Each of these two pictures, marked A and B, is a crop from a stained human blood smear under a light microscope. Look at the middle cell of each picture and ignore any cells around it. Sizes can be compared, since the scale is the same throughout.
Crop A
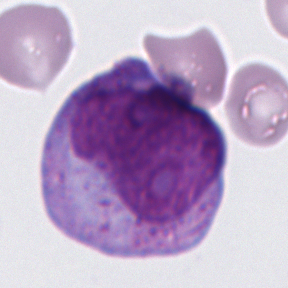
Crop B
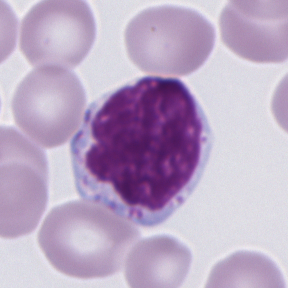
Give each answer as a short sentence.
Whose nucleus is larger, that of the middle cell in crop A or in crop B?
Larger is the nucleus in crop A, at roughly 1.5 times the area of the other.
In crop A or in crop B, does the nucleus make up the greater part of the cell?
It is the cell in crop B that is filled more by its nucleus.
